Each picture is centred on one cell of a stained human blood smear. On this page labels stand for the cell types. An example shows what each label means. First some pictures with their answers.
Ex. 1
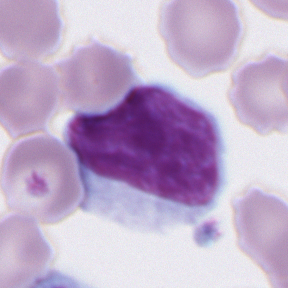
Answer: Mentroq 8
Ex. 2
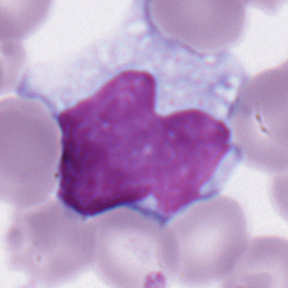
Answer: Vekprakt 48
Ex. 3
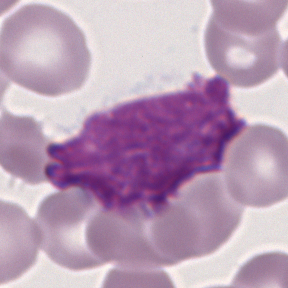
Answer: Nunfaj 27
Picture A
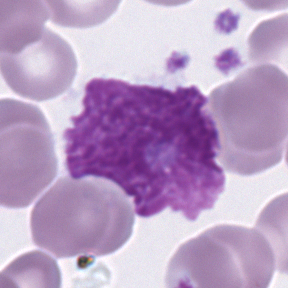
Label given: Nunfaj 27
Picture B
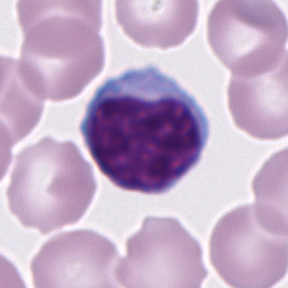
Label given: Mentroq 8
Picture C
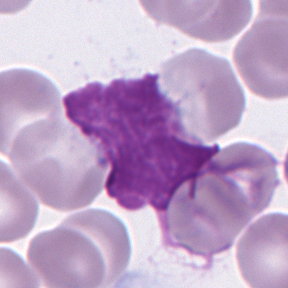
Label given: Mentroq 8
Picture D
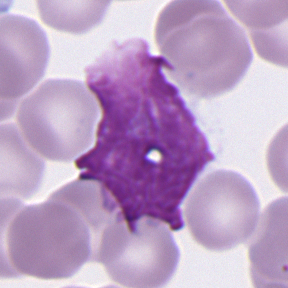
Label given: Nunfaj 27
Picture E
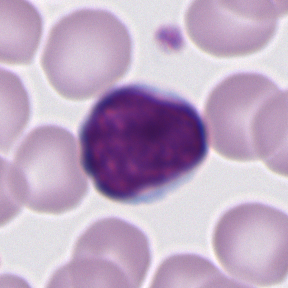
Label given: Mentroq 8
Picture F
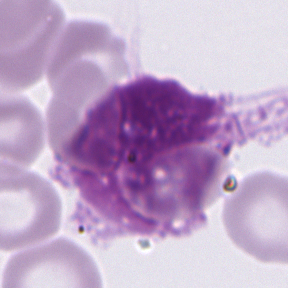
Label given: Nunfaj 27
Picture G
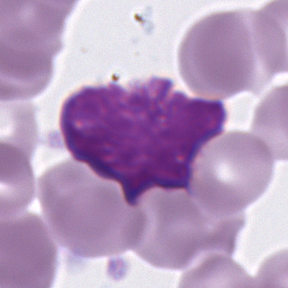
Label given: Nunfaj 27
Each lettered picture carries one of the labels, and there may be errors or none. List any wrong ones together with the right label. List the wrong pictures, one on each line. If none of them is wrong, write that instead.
C should be Nunfaj 27, not Mentroq 8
